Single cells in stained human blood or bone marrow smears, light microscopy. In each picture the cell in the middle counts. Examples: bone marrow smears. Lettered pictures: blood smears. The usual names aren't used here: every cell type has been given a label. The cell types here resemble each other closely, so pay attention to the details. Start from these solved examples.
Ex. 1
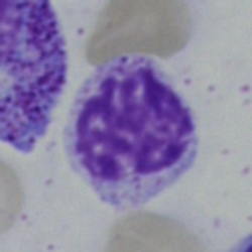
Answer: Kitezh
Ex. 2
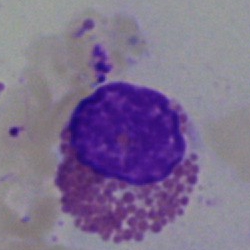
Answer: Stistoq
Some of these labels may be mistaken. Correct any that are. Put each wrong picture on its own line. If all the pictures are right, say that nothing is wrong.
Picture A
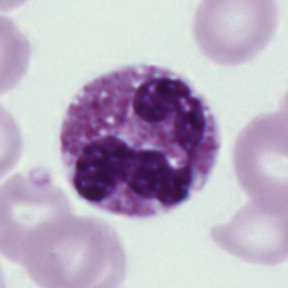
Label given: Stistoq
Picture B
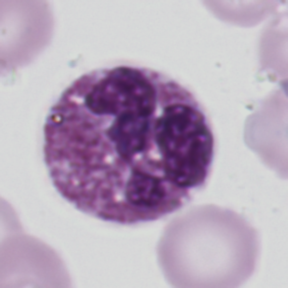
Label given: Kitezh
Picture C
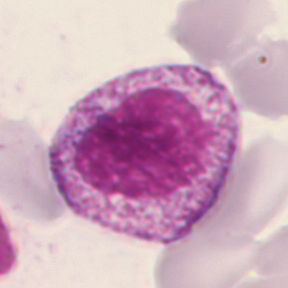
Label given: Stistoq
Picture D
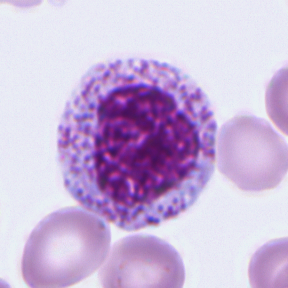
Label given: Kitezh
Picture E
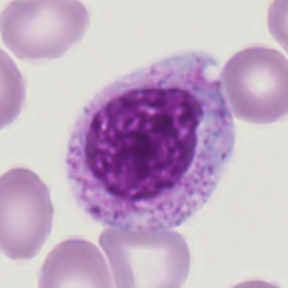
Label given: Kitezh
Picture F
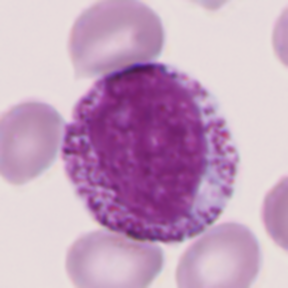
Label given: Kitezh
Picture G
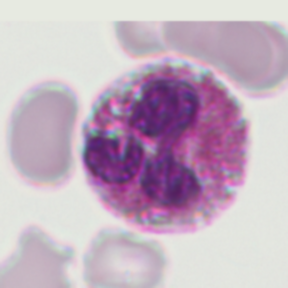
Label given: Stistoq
B: change Kitezh to Stistoq
C: change Stistoq to Kitezh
